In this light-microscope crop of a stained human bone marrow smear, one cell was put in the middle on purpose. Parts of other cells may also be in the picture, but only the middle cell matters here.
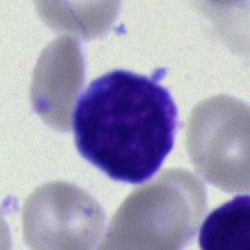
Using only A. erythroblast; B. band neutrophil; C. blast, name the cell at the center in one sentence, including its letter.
Option C gives the correct identity of the central cell, namely a blast.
